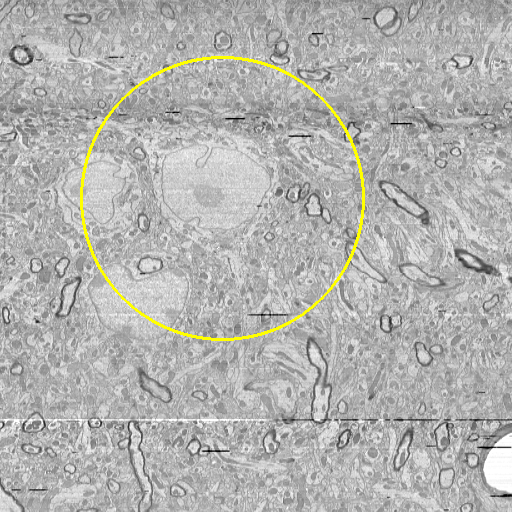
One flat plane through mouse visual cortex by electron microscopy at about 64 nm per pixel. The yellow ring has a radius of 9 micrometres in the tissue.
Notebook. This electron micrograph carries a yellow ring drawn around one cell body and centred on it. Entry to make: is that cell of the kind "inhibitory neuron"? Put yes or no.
yes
